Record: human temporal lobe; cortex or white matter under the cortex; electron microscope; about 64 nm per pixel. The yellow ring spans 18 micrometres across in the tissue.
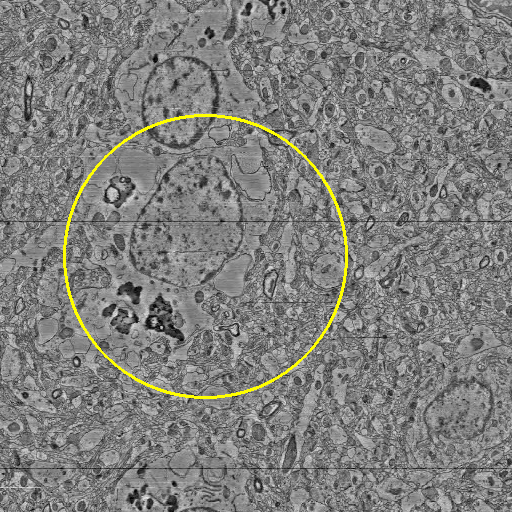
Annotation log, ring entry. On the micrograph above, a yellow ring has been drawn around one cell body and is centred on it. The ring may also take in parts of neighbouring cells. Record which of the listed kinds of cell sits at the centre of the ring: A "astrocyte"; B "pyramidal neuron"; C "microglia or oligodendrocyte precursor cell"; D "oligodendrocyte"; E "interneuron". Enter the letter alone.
A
